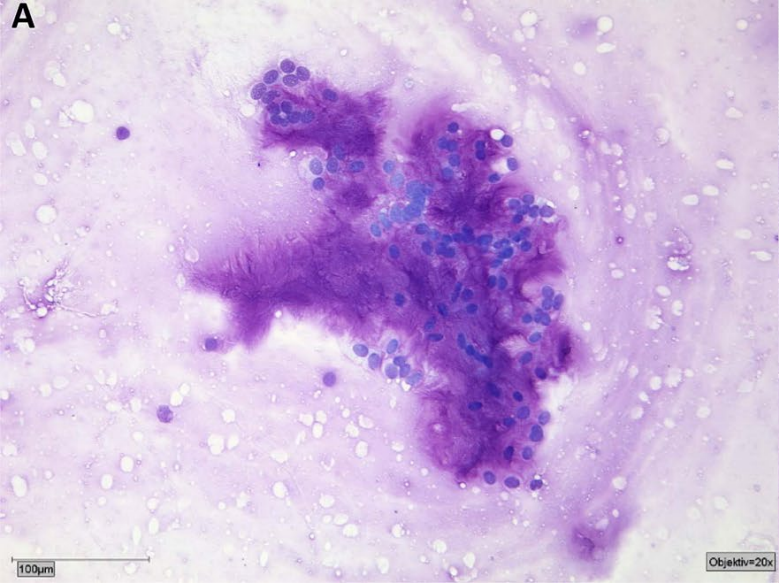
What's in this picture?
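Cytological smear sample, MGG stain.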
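The matrix forms an intensely violet mass with frayed, fibrillary edges. Numerous small, uniform oval nuclei are scattered through and around the mass, some in small clusters at its margins. The surrounding background is pale lilac with many small clear vacuoles.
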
